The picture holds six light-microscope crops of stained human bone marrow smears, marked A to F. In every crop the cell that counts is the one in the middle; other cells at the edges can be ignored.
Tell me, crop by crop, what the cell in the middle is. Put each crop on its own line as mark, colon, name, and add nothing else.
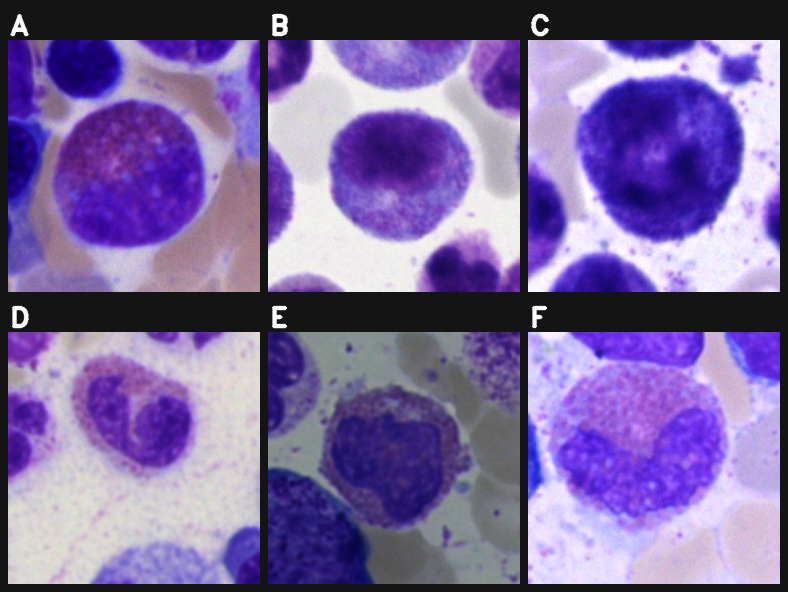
A: eosinophil
B: promyelocyte
C: promyelocyte
D: eosinophil
E: eosinophil
F: eosinophil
